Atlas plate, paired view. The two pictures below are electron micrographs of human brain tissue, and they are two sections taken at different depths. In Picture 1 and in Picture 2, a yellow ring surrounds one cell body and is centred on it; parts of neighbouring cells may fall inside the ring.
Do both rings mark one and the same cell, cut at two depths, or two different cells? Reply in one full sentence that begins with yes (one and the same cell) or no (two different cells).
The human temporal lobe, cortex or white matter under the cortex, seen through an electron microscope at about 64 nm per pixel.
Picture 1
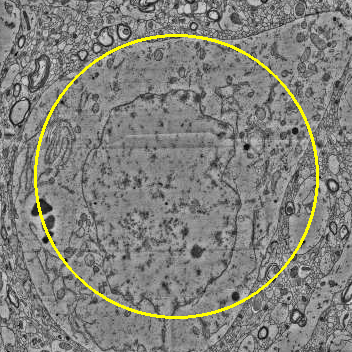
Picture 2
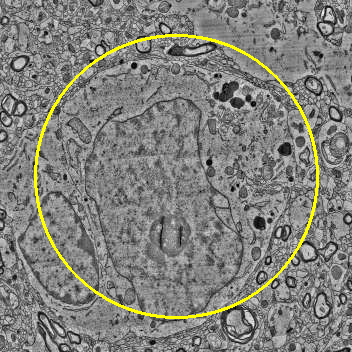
No, the rings do not mark the same cell.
